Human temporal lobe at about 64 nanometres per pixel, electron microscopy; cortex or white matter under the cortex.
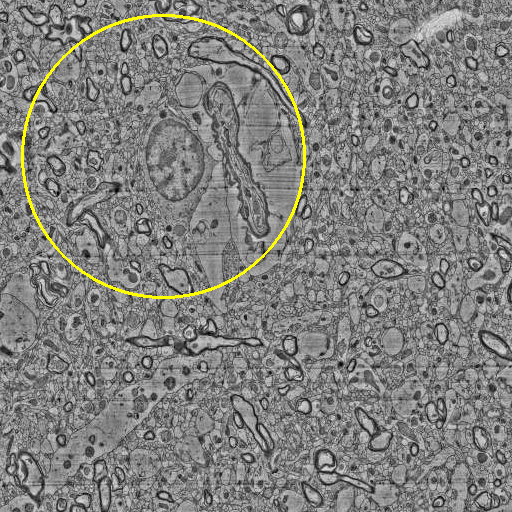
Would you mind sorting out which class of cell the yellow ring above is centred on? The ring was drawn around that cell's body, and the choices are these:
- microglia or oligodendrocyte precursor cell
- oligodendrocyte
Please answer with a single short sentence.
This is the cell body of an oligodendrocyte.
